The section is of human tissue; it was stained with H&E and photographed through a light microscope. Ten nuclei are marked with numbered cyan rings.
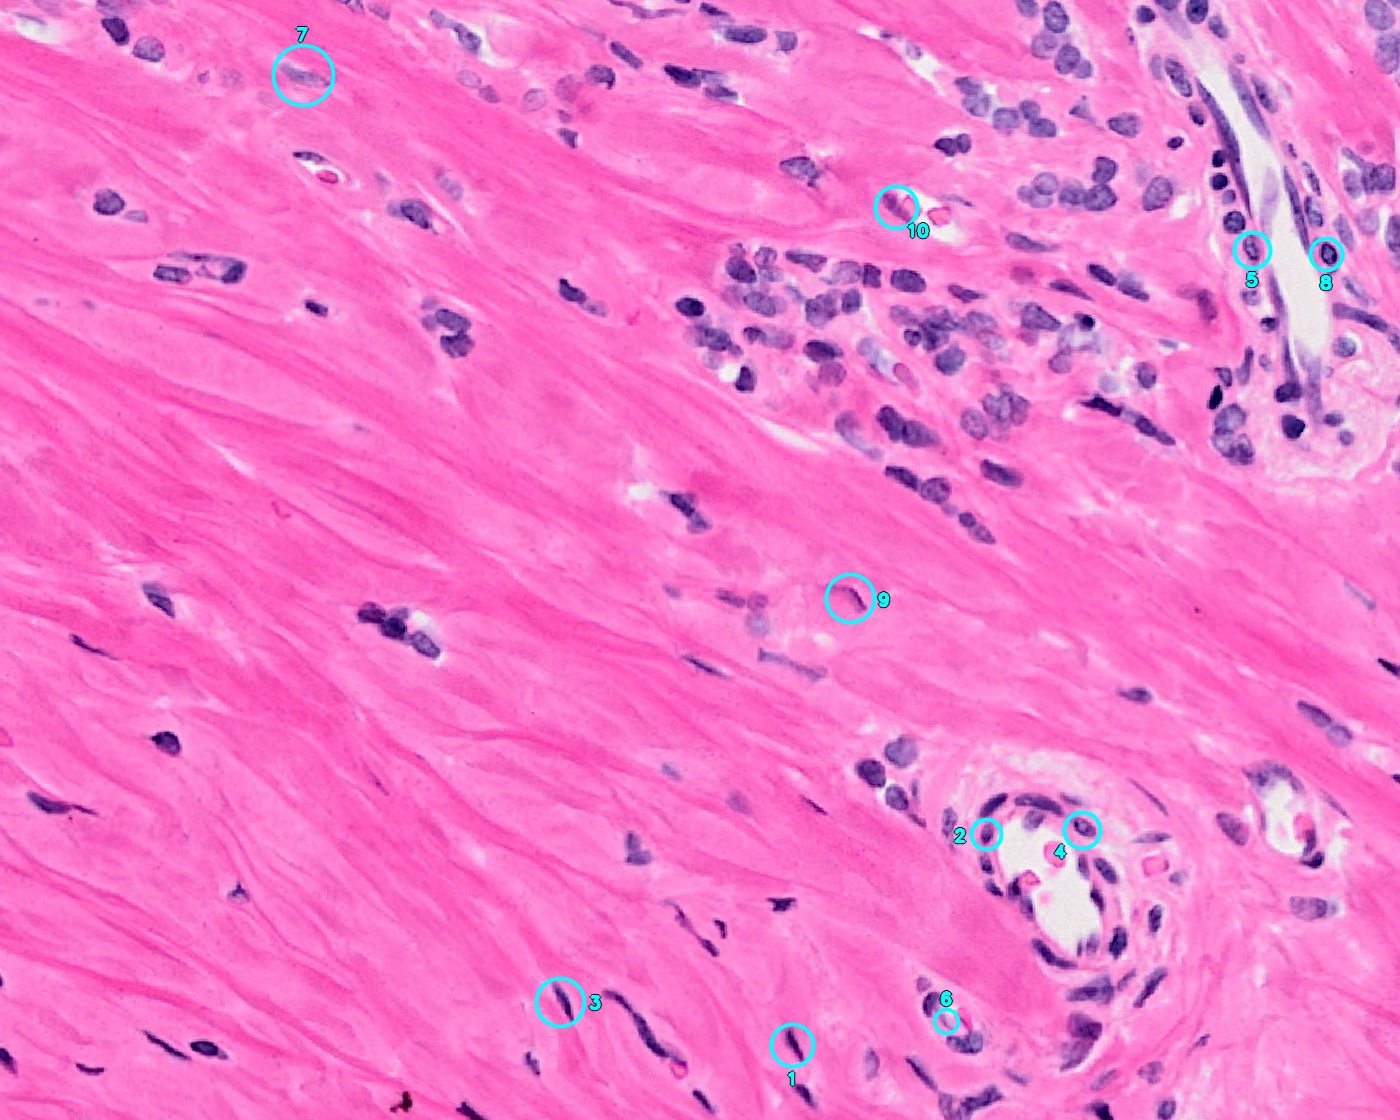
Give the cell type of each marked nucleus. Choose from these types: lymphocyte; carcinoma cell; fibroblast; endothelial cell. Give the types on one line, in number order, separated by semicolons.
fibroblast; endothelial cell; fibroblast; endothelial cell; endothelial cell; endothelial cell; fibroblast; endothelial cell; fibroblast; endothelial cell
